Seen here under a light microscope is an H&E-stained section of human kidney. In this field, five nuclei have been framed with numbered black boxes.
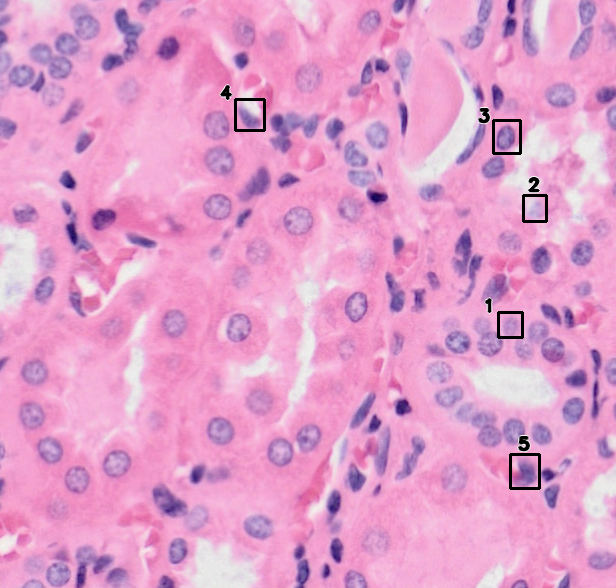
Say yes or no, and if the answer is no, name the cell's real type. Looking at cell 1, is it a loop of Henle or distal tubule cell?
No, it is a collecting duct cell.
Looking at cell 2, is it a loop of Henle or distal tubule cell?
Yes.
